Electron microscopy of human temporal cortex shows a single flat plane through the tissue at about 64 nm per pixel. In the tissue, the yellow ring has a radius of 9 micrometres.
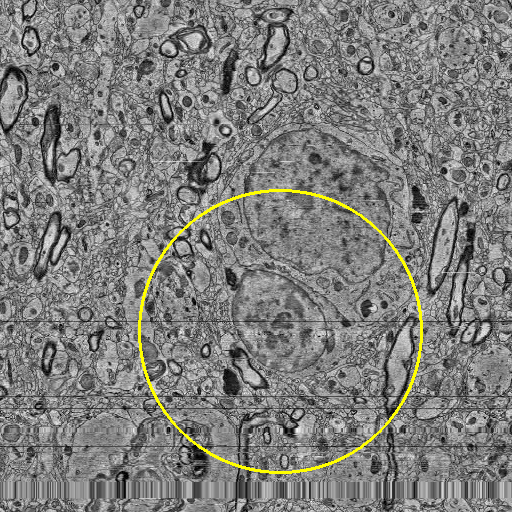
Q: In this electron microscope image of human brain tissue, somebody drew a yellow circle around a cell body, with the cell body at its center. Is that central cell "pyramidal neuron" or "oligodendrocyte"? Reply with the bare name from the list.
oligodendrocyte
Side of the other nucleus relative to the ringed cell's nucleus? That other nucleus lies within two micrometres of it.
That other nucleus is above it.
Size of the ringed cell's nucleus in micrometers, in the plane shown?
In this plane, the nucleus of the cell at the centre of the ring measures about 7 by 6 micrometres.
